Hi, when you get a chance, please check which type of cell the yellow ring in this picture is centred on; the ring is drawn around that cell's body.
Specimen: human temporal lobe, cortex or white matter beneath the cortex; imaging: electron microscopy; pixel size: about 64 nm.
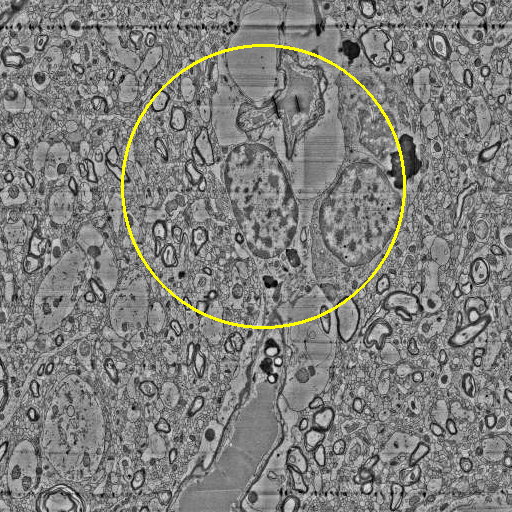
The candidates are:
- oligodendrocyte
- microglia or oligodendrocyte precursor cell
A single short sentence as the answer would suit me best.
The ring is drawn around the body of a microglial cell or oligodendrocyte precursor cell.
